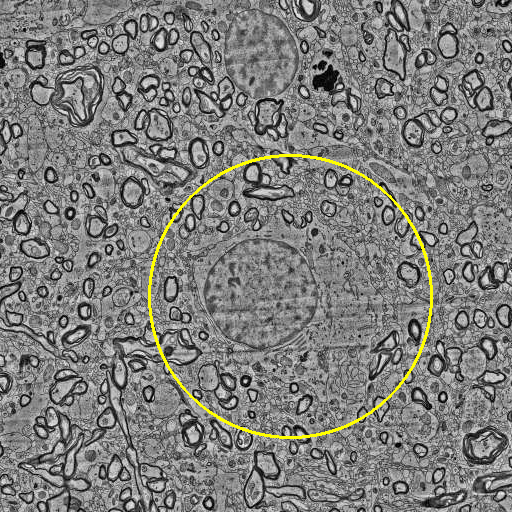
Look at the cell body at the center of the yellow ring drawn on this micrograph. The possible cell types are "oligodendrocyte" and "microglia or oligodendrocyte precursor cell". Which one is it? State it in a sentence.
The cell in the middle of the ring is a microglial cell or oligodendrocyte precursor cell.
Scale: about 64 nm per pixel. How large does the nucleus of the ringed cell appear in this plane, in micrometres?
Roughly 7 micrometers across in this plane.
